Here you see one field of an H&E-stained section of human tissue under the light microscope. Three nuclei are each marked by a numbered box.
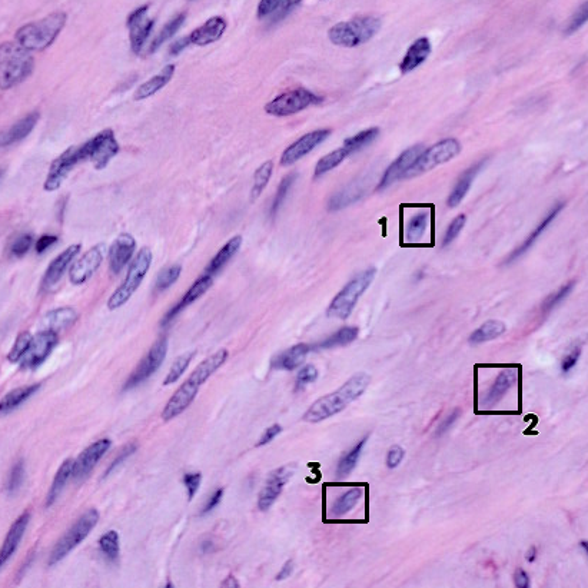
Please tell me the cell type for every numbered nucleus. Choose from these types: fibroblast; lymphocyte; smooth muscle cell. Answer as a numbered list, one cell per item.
1. fibroblast
2. smooth muscle cell
3. smooth muscle cell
